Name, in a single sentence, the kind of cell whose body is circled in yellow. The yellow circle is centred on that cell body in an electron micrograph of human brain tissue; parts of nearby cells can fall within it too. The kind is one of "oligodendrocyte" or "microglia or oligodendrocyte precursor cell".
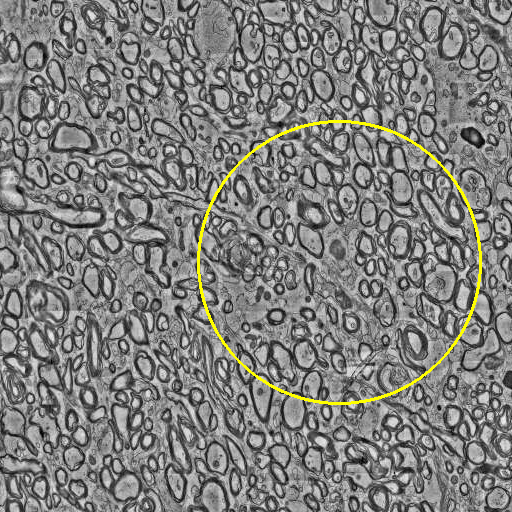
The circled cell body belongs to a microglial cell or oligodendrocyte precursor cell.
